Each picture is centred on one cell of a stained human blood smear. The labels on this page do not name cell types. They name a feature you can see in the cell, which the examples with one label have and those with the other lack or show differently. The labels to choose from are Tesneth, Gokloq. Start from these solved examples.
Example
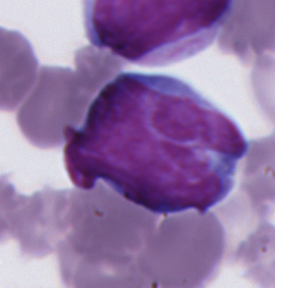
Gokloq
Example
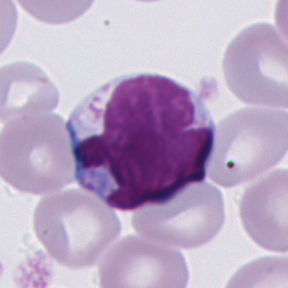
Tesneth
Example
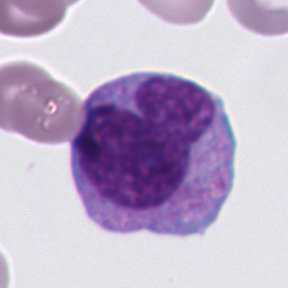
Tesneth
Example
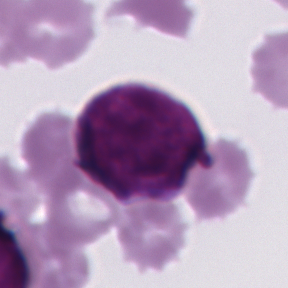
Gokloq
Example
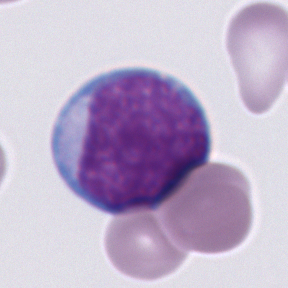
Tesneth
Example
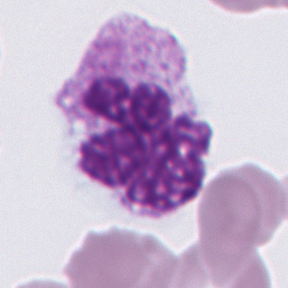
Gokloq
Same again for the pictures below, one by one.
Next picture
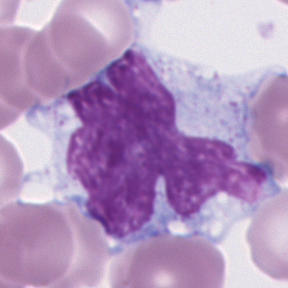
Gokloq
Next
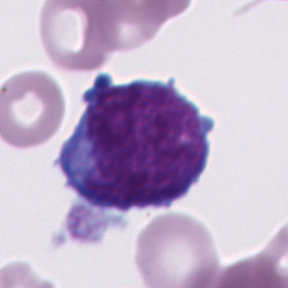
Gokloq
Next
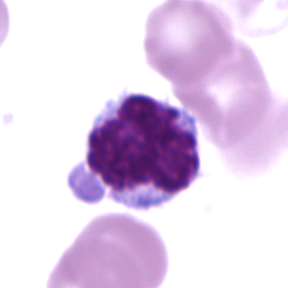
Gokloq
